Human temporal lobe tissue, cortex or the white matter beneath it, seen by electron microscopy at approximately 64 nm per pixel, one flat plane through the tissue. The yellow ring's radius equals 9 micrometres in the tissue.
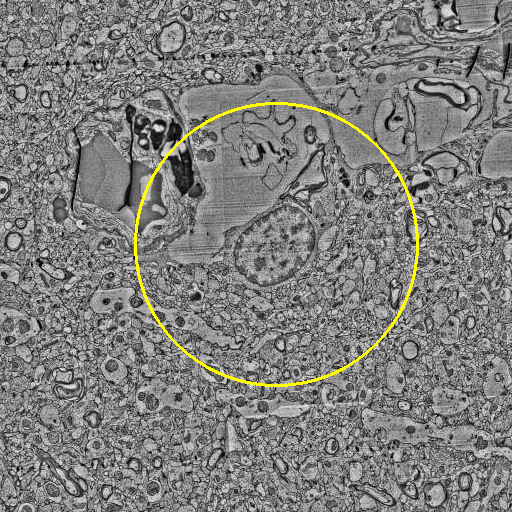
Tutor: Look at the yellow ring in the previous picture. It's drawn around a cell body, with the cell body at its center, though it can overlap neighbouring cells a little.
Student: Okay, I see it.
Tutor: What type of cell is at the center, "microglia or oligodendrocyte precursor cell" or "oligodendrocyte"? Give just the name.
oligodendrocyte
